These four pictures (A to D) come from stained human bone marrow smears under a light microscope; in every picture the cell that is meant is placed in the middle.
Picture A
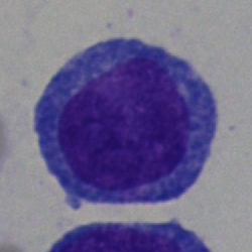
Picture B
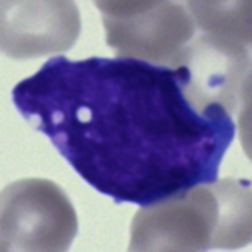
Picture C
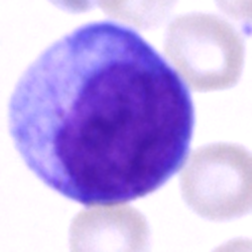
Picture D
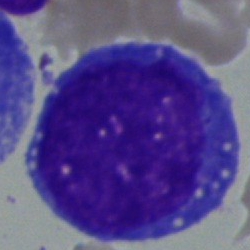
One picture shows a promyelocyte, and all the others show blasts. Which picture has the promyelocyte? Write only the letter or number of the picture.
C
